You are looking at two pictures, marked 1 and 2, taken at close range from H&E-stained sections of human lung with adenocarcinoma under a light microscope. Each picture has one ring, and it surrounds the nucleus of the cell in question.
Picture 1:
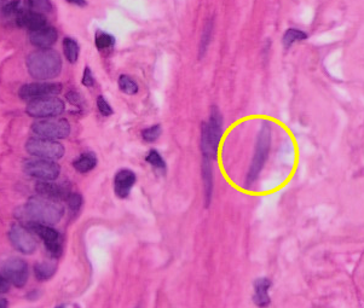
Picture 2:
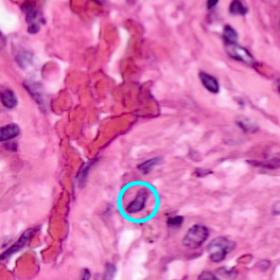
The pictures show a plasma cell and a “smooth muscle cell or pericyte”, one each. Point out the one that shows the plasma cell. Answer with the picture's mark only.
2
